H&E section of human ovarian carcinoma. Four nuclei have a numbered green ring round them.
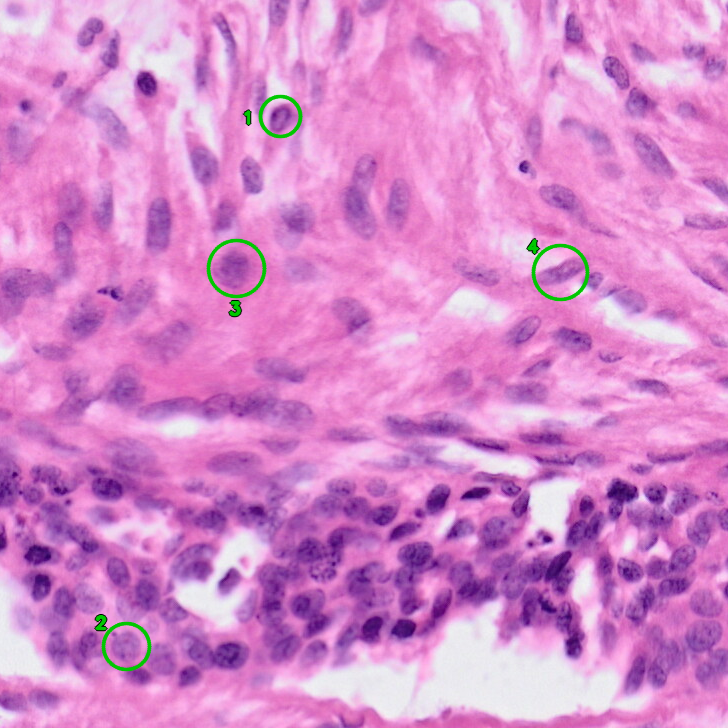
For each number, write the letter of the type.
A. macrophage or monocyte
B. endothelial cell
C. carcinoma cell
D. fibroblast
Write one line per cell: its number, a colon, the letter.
1: D
2: C
3: D
4: D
